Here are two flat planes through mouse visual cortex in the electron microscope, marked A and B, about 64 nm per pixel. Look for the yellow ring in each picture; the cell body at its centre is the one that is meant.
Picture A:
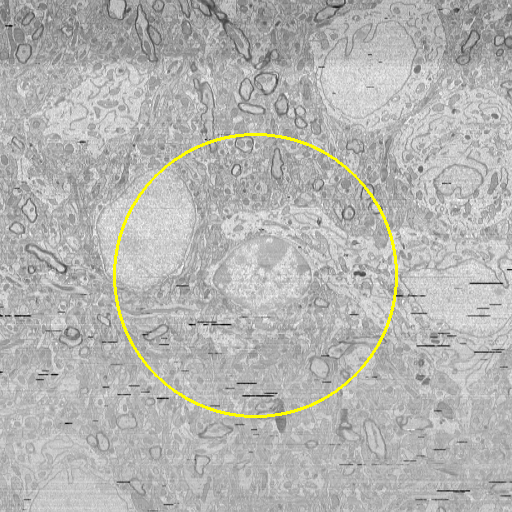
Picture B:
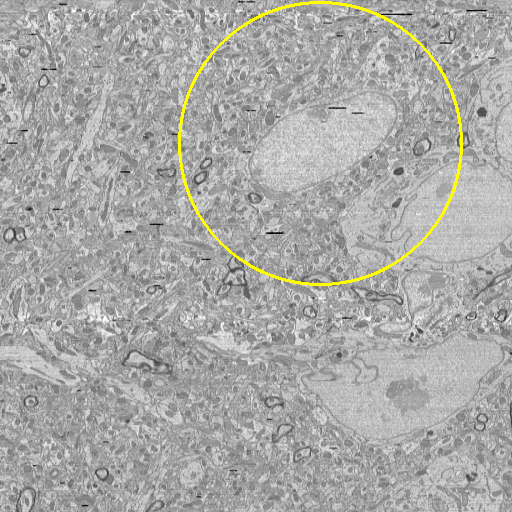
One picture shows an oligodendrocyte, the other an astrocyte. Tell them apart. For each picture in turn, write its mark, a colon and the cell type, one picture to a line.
A: oligodendrocyte
B: astrocyte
